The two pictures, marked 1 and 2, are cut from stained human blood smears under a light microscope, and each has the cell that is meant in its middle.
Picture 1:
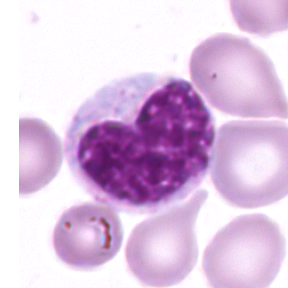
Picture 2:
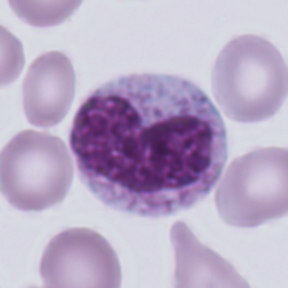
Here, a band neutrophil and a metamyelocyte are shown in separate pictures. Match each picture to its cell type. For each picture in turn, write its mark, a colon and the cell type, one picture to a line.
1: metamyelocyte
2: band neutrophil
